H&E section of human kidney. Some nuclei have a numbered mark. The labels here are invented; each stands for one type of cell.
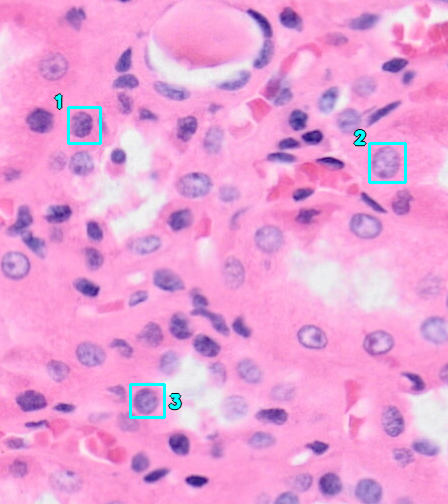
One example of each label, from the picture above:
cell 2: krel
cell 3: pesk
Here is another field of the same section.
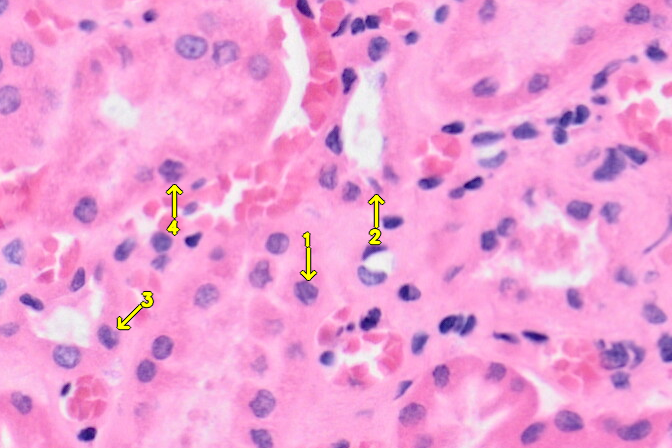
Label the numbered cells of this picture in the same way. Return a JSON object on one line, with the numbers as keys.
{"1": "krel", "2": "pesk", "3": "pesk", "4": "krel"}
